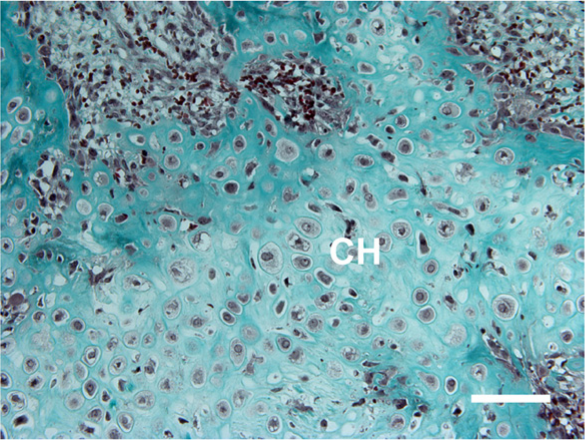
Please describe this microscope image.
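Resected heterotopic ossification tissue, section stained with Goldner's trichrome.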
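Most of the field is a pale blue-green matrix in which large rounded cells sit singly or in small groups, each in a clear space with a halo around it. Along the upper edge and at the corners lie crowded clusters of small, darkly staining cells. The rounded cells in their clear spaces are chondrocytes of cartilage.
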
